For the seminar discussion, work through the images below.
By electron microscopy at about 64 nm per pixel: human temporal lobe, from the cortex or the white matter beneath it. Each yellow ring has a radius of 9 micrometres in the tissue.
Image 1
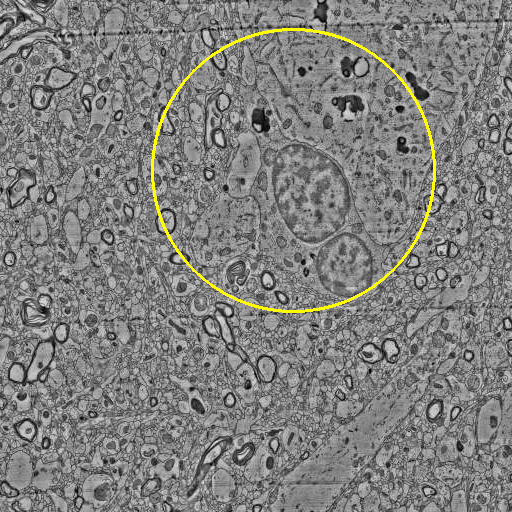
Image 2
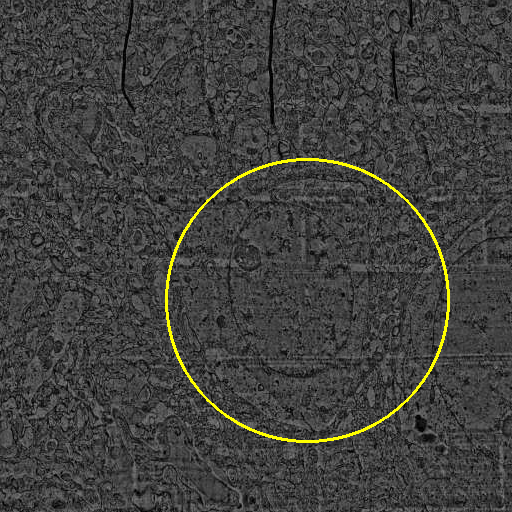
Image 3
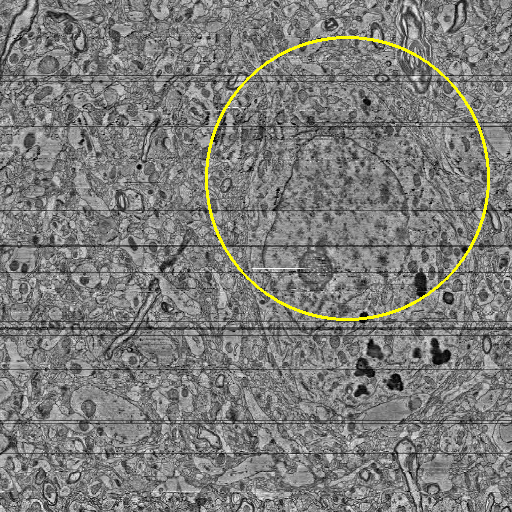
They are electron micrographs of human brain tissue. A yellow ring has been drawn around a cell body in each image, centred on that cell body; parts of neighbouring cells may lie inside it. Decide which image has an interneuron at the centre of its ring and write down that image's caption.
Image 3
